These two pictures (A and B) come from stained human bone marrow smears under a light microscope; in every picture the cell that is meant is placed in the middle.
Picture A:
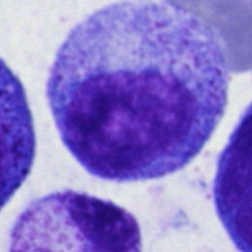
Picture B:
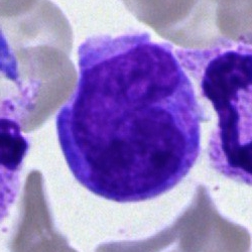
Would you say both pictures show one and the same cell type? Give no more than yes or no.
no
